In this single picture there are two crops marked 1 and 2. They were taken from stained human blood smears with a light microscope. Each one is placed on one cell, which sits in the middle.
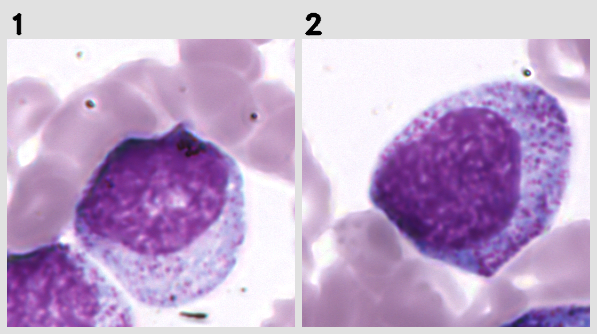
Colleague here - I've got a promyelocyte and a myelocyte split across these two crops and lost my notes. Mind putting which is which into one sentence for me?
Crop 1 should be reported as a myelocyte, and crop 2 as a promyelocyte.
